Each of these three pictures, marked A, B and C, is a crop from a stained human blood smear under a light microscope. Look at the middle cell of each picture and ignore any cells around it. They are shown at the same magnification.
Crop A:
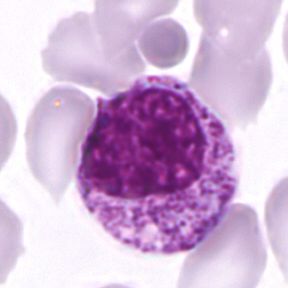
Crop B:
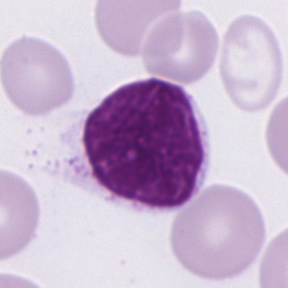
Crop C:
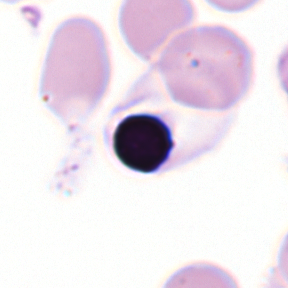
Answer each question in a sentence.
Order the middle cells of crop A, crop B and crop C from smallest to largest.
Smallest first: C, B, A.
